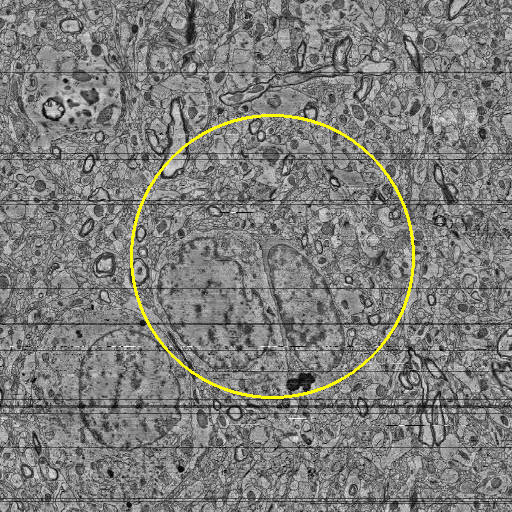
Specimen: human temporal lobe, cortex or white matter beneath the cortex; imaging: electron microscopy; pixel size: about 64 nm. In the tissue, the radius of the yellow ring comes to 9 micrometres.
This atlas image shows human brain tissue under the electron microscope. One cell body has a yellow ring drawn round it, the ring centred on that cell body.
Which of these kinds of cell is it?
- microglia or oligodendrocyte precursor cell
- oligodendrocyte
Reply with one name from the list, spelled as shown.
oligodendrocyte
